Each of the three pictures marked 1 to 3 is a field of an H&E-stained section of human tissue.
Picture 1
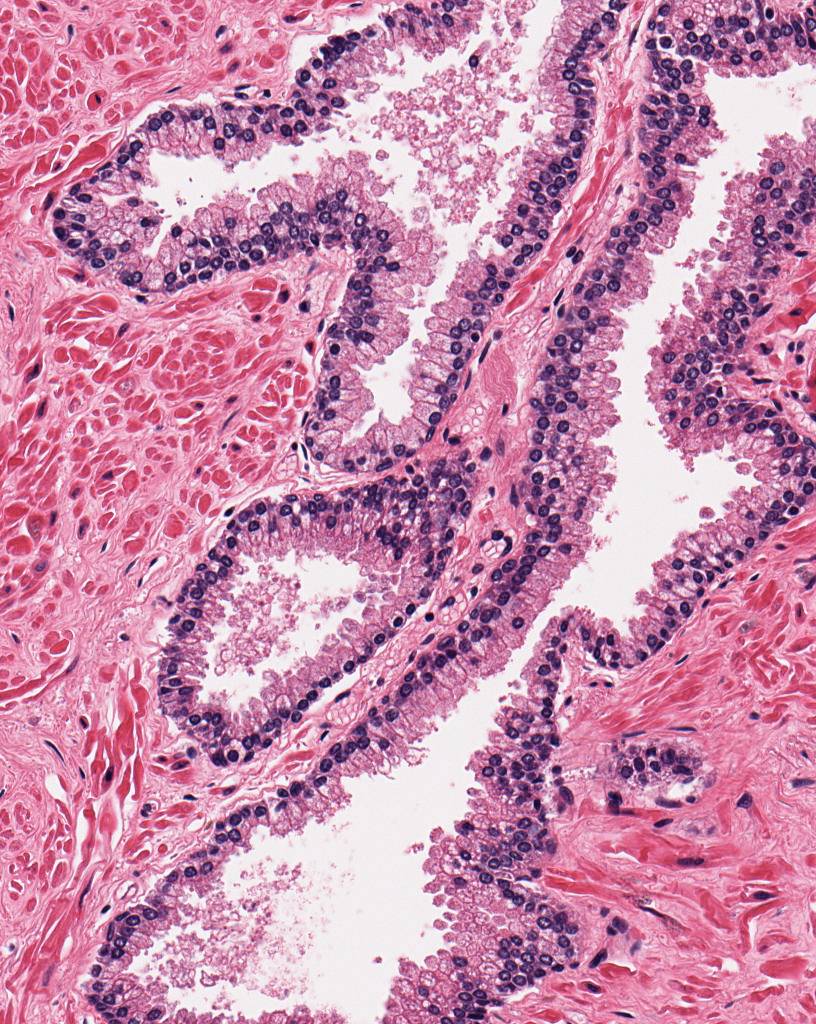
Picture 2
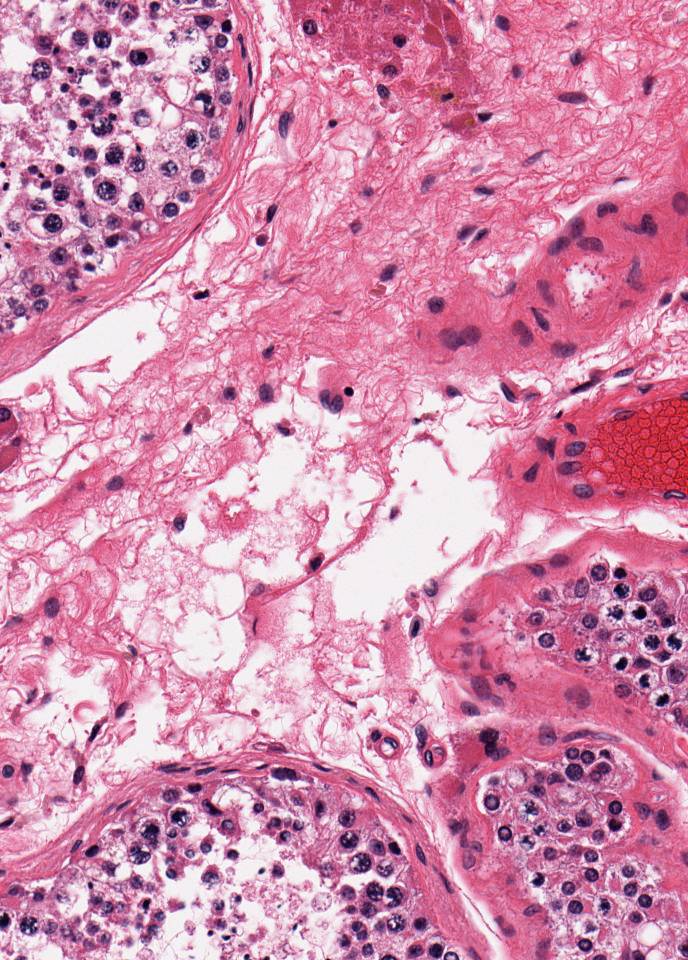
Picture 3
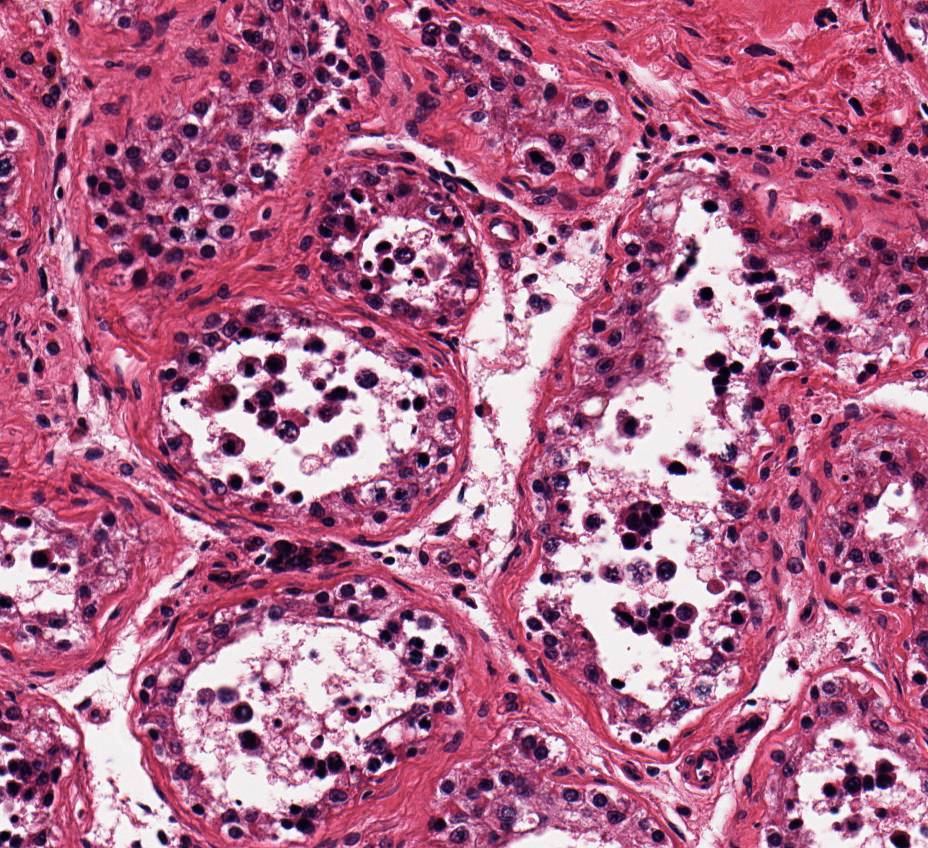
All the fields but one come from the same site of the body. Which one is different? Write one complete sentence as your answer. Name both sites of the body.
Picture 1 is the odd one out: it comes from the prostate, while the others come from the testis.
